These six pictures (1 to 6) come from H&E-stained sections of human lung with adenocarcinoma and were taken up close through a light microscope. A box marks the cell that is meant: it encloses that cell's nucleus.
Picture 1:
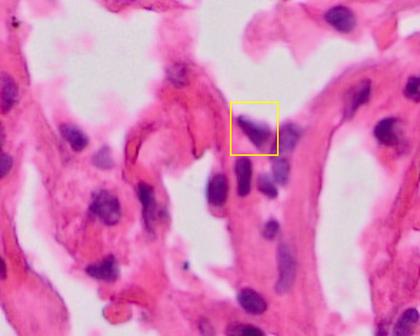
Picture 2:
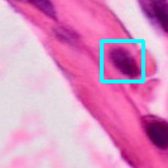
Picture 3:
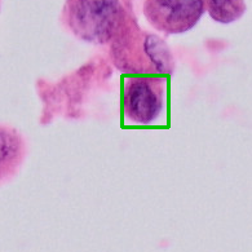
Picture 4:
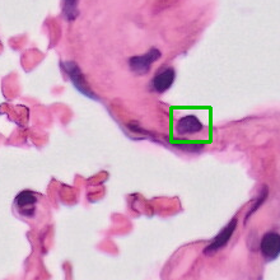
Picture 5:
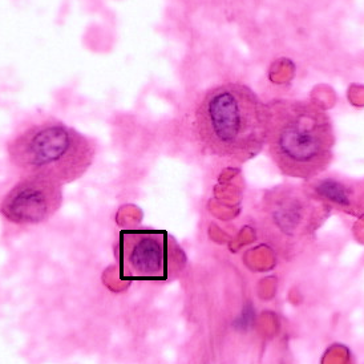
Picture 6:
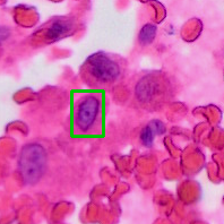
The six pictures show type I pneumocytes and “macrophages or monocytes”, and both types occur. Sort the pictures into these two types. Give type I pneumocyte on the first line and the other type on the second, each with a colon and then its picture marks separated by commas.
type I pneumocyte: 1, 2, 4
macrophage or monocyte: 3, 5, 6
